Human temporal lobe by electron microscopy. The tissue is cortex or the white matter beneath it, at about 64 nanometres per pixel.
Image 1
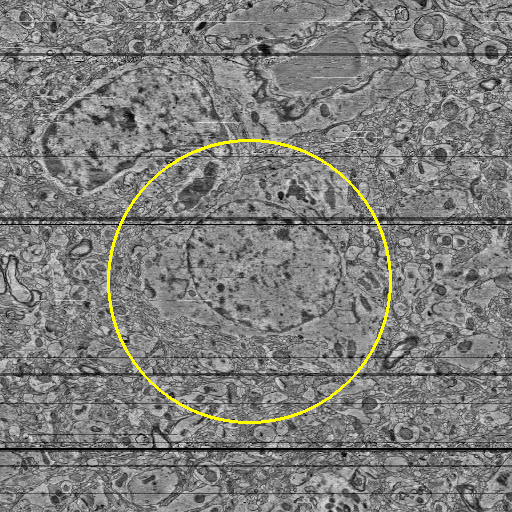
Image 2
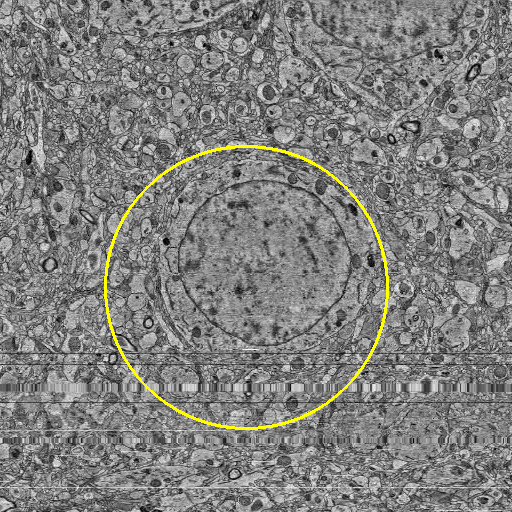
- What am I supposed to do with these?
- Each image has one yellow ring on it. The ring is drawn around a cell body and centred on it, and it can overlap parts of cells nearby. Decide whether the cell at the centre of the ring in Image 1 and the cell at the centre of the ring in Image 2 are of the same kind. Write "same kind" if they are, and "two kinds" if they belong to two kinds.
two kinds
